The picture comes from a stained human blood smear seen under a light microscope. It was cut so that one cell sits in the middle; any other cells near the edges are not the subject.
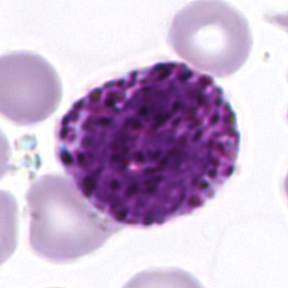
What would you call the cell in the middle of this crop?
basophil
